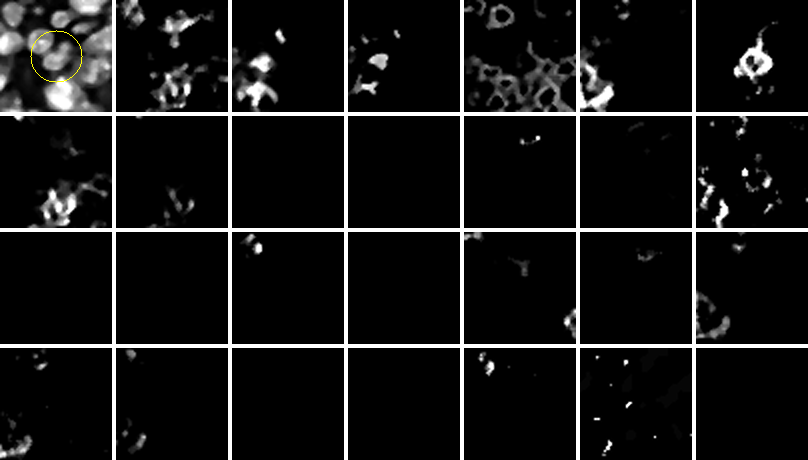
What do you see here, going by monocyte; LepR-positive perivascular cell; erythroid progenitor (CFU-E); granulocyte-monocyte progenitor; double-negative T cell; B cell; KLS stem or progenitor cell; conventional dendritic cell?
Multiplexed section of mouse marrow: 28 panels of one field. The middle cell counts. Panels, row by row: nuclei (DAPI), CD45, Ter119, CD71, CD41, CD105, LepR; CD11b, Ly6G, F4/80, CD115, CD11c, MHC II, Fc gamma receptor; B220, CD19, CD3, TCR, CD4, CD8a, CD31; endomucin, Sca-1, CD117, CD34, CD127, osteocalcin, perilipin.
I see a LepR-positive perivascular cell.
